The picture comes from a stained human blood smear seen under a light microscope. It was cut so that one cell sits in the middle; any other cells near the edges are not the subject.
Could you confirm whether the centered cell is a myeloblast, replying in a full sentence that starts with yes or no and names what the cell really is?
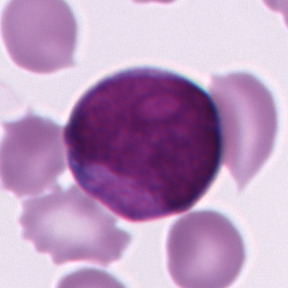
Yes, it is a myeloblast that is seen at the centre of the crop.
